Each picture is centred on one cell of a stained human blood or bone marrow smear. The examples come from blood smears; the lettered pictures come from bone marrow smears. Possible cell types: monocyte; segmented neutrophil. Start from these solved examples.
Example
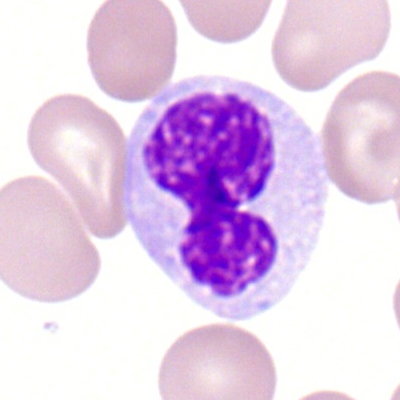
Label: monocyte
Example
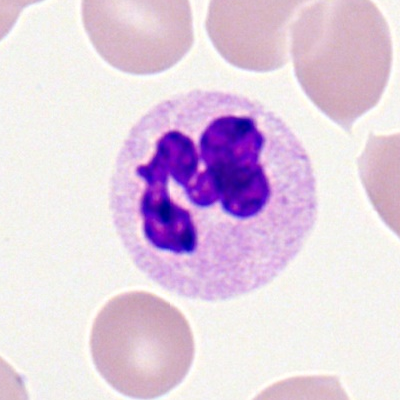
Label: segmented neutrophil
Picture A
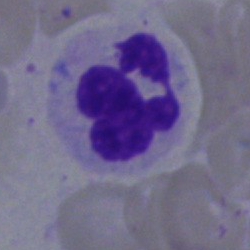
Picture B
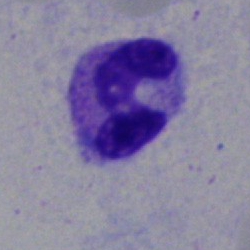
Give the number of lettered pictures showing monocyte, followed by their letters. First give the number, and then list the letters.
0, none of them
